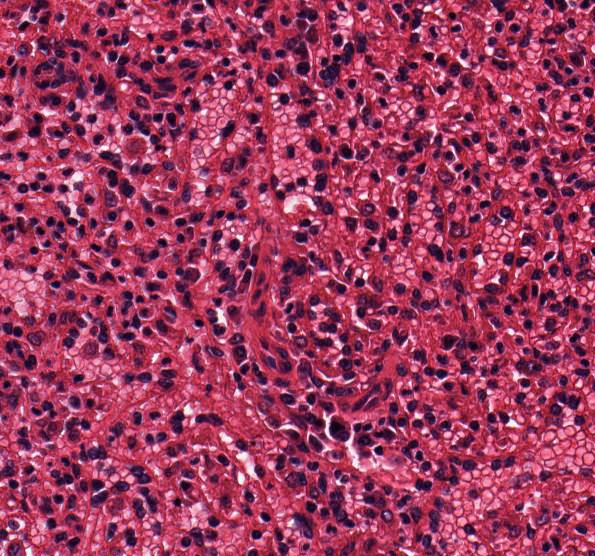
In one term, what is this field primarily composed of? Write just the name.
red pulp of the spleen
